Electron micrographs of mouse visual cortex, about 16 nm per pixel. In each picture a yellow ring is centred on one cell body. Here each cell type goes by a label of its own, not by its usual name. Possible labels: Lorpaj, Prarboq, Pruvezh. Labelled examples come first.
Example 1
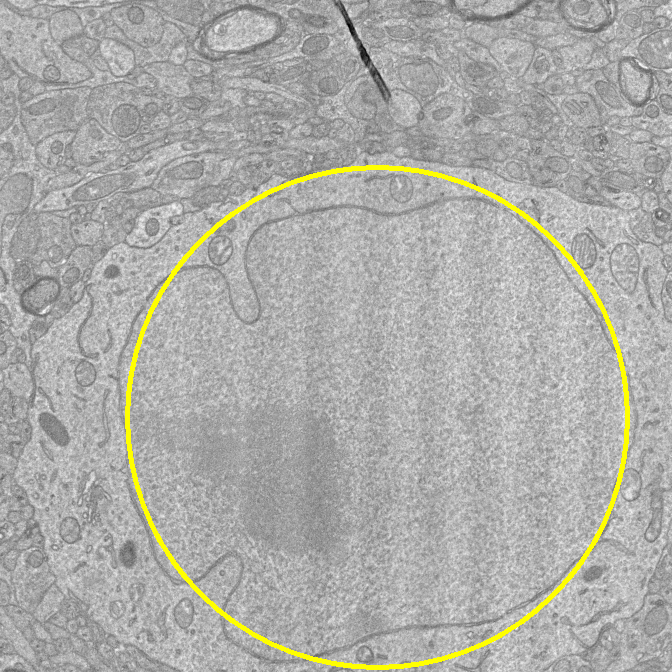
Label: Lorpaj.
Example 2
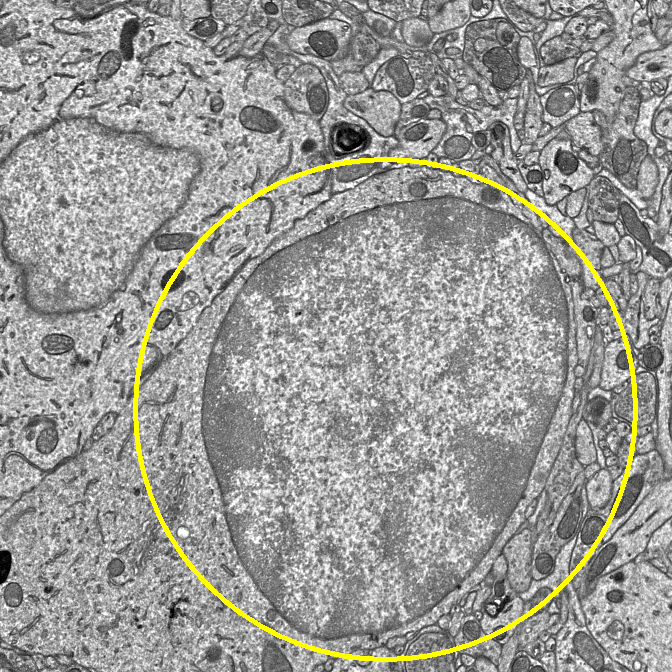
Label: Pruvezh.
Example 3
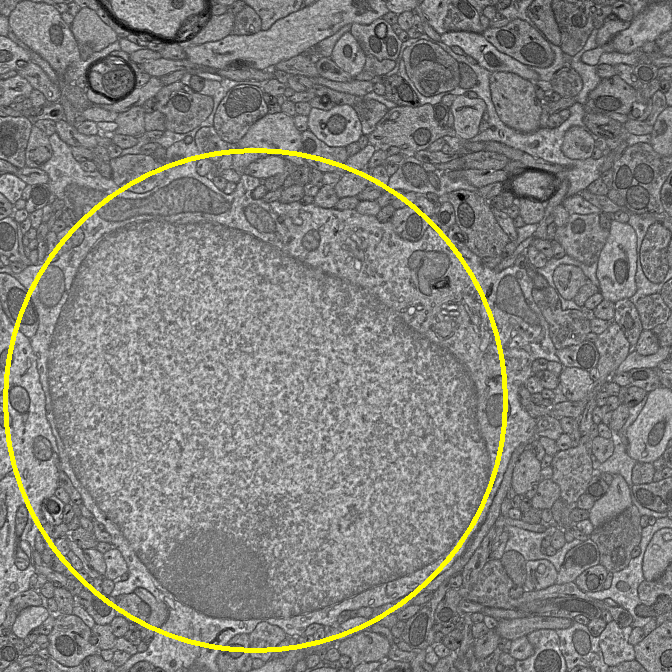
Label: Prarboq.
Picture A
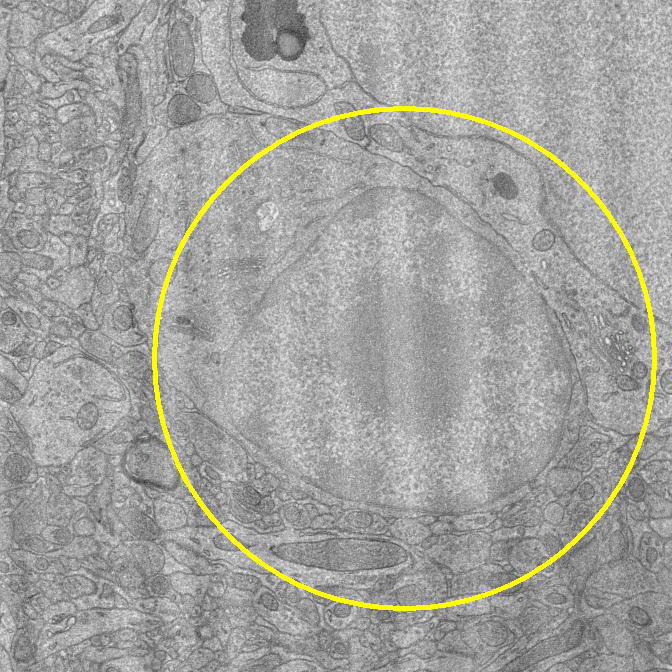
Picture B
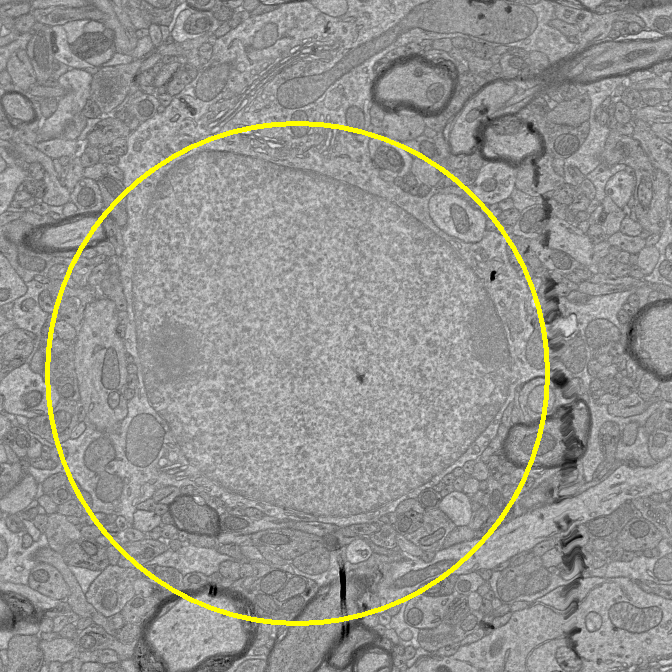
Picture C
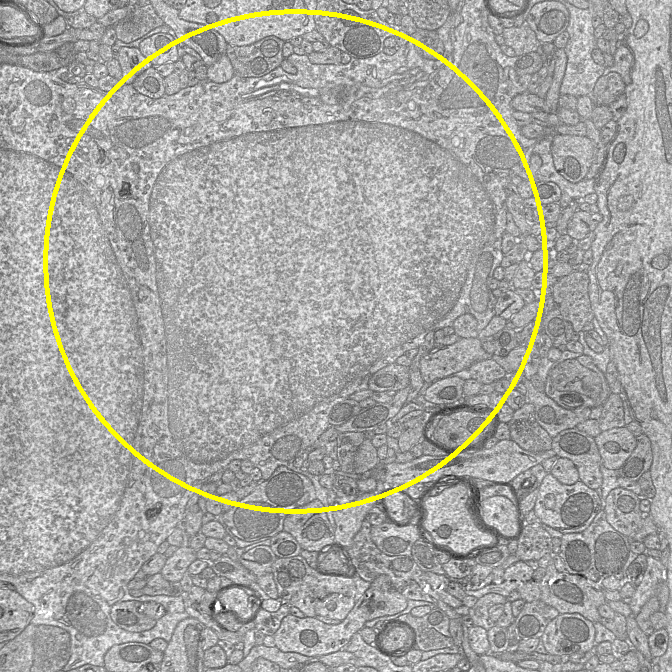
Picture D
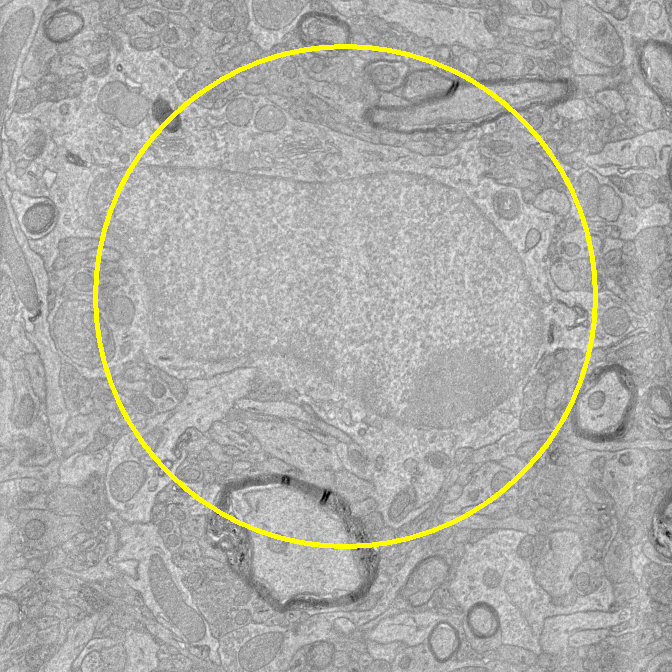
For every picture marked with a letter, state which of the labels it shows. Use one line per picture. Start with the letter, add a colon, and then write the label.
A: Pruvezh.
B: Prarboq.
C: Prarboq.
D: Prarboq.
